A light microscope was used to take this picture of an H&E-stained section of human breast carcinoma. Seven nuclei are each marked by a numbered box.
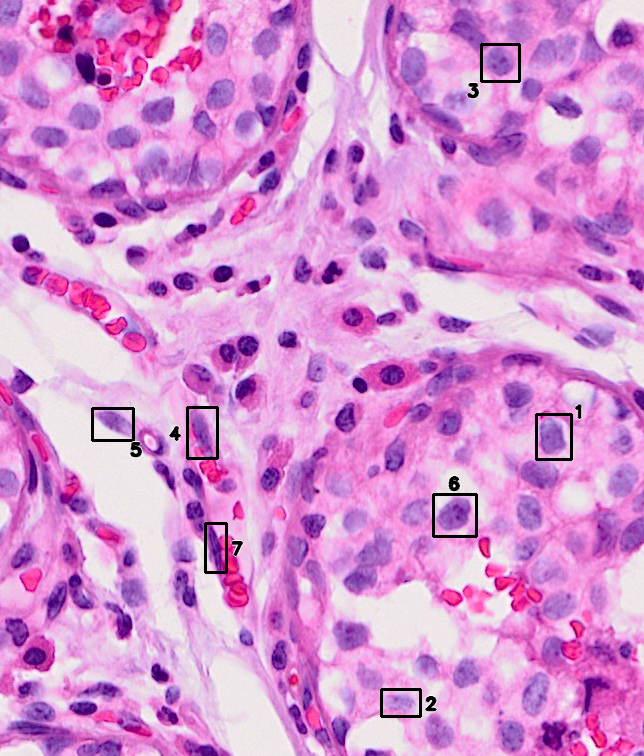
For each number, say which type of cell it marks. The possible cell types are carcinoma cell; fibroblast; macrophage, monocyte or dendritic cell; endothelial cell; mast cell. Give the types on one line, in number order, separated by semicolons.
carcinoma cell; carcinoma cell; carcinoma cell; endothelial cell; fibroblast; carcinoma cell; endothelial cell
